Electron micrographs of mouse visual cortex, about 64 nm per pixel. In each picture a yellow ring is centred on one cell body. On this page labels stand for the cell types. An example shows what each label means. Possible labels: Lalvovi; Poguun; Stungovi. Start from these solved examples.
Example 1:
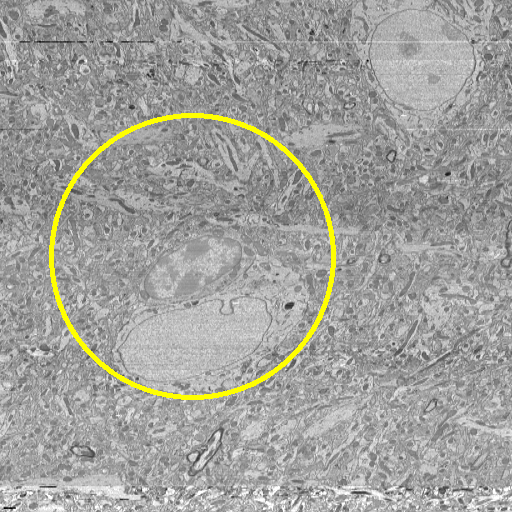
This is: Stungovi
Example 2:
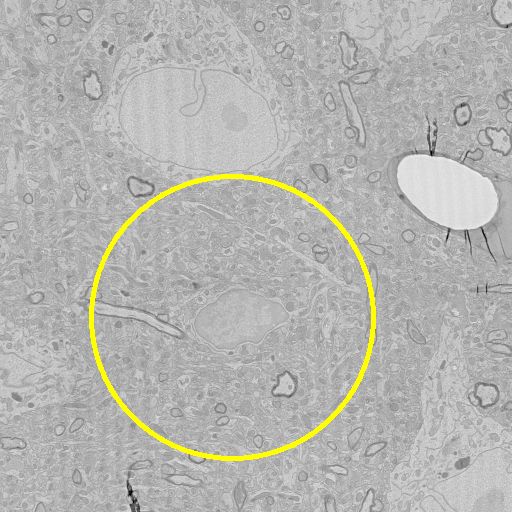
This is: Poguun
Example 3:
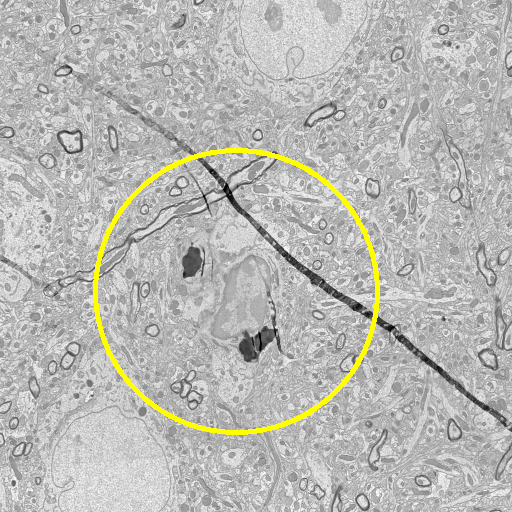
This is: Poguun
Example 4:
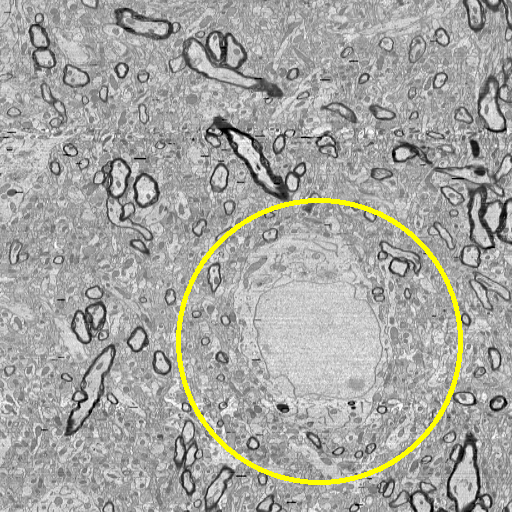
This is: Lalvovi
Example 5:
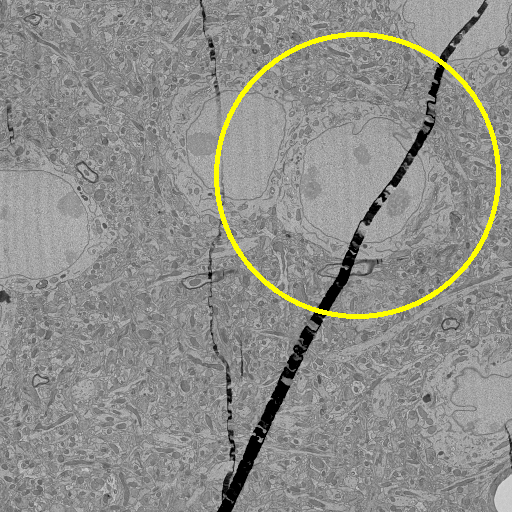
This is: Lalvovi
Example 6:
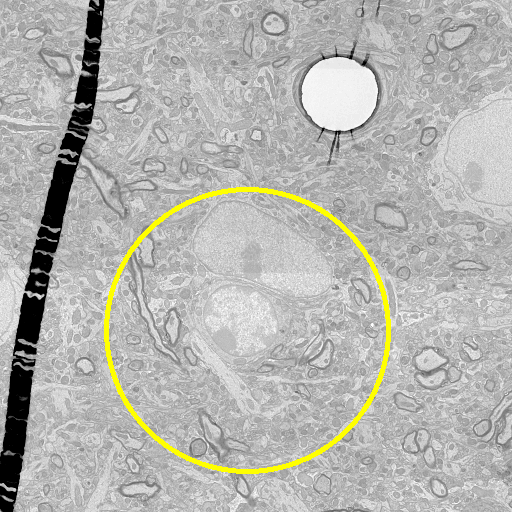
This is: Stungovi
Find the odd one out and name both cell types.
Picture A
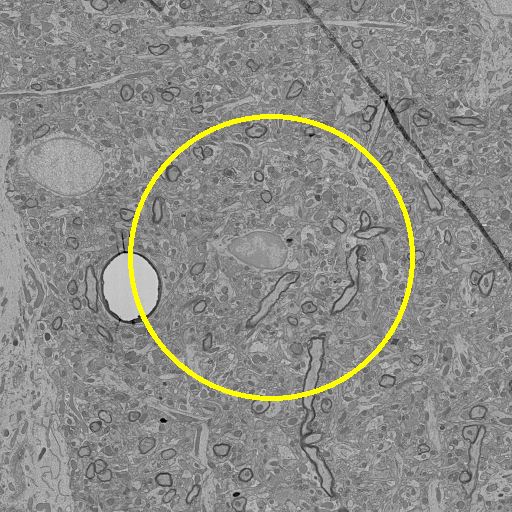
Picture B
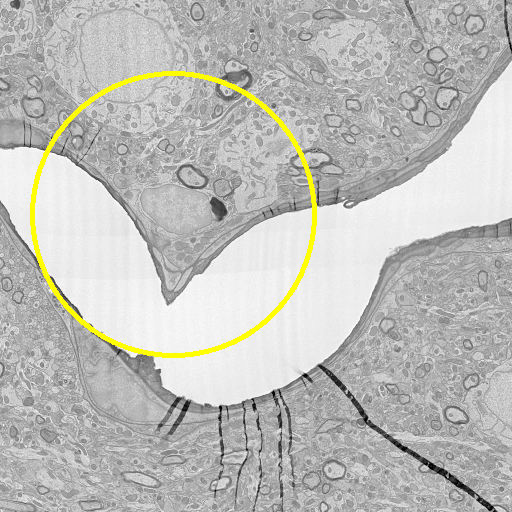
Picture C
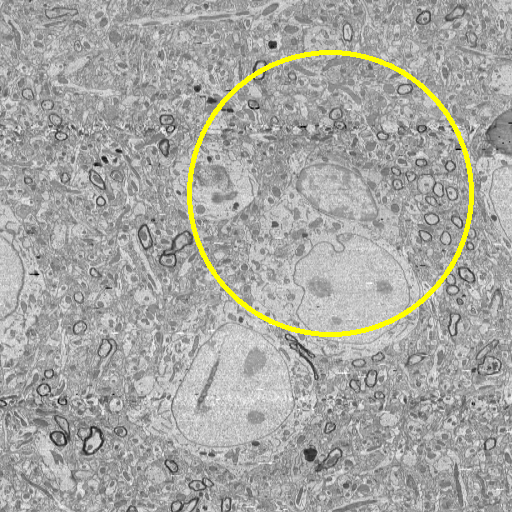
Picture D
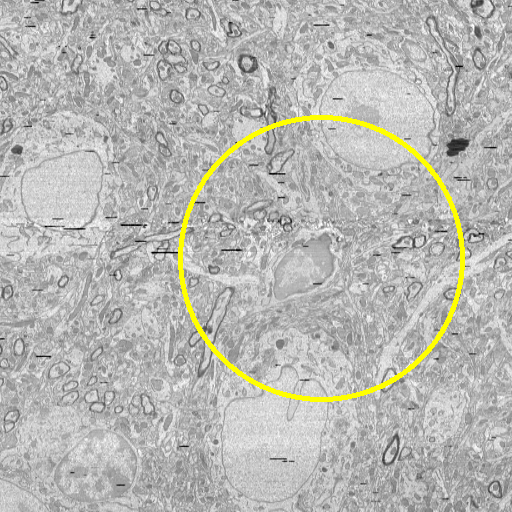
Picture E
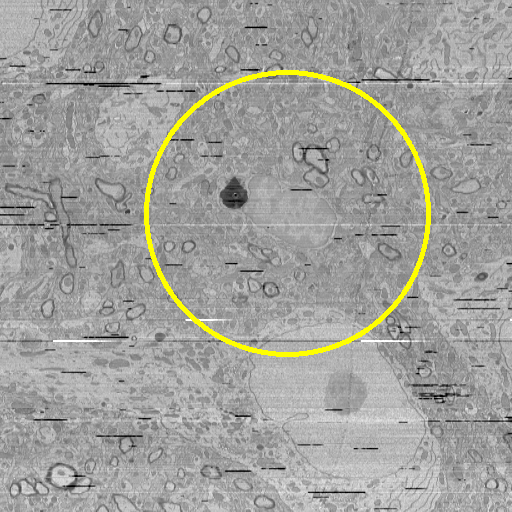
Exception: C, showing Stungovi. Remaining pictures: Poguun.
